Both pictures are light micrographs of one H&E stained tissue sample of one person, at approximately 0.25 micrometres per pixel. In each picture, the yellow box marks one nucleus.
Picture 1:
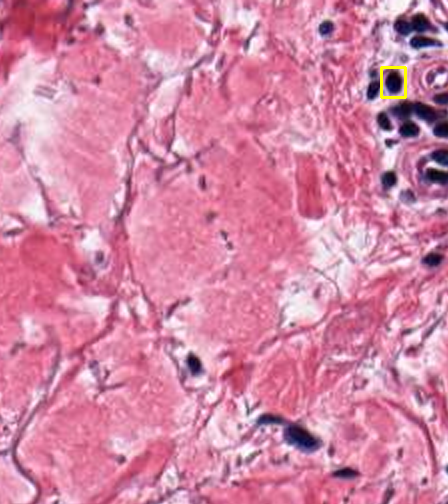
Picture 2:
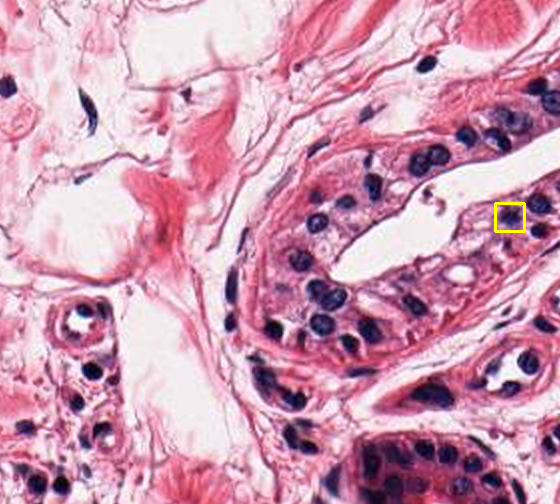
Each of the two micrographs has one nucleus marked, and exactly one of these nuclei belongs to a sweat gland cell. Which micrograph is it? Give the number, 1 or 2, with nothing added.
2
